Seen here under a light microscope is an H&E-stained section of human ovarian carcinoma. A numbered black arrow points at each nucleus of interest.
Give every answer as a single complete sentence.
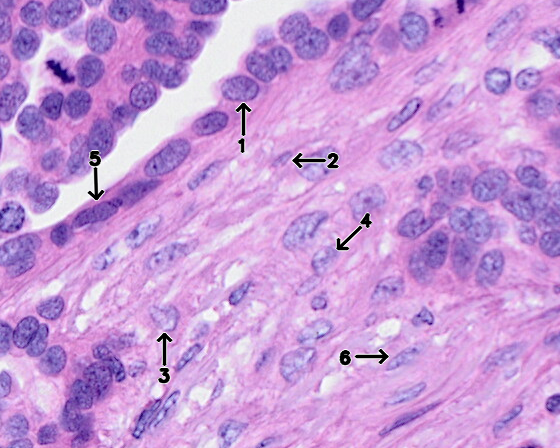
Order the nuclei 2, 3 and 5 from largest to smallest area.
Largest first, the order by area is 5, 3, 2.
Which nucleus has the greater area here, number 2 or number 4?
Nucleus 4 is larger, with an area about 2.5 times that of nucleus 2.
